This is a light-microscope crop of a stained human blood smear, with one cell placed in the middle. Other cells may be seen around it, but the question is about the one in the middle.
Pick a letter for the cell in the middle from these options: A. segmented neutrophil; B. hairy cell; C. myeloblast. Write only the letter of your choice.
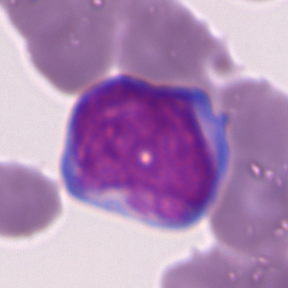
C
